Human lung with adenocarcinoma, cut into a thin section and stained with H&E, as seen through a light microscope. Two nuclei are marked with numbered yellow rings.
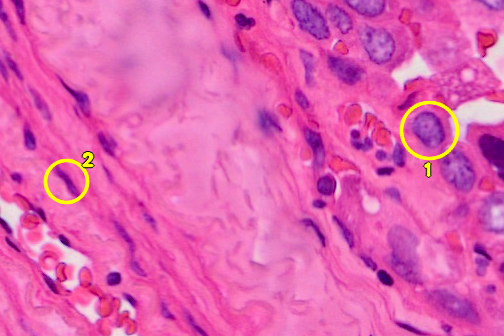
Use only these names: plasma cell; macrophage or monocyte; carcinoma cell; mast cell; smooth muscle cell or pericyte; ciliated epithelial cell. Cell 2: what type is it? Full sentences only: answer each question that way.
Classified as a smooth muscle cell or pericyte is the cell with the number 2.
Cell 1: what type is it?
The cell assigned the number 1 is a carcinoma cell.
